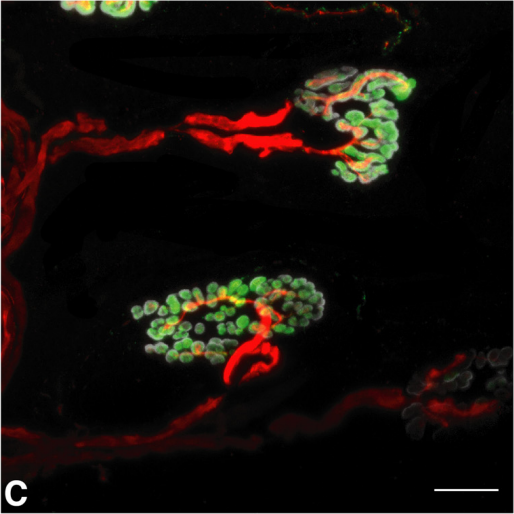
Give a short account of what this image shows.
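Two neuromuscular junctions on skeletal muscle fibres, each a cluster of small rounded white-rimmed beads with green centres forming a pretzel-like plaque. A thick red axon approaches each plaque and splits into fine terminal branches that run over the beads.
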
